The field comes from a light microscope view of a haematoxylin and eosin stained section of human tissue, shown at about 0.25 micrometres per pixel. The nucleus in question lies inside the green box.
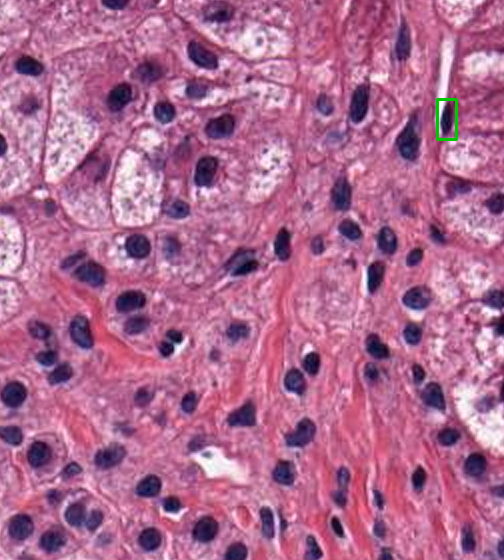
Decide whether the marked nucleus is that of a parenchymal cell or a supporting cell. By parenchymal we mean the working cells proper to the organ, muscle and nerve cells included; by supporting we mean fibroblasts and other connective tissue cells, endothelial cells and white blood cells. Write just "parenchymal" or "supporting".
supporting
